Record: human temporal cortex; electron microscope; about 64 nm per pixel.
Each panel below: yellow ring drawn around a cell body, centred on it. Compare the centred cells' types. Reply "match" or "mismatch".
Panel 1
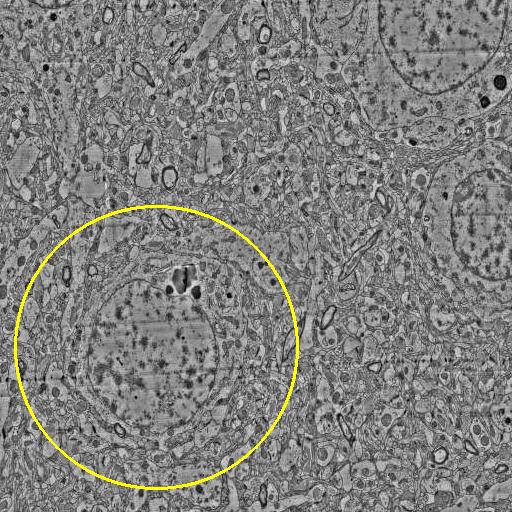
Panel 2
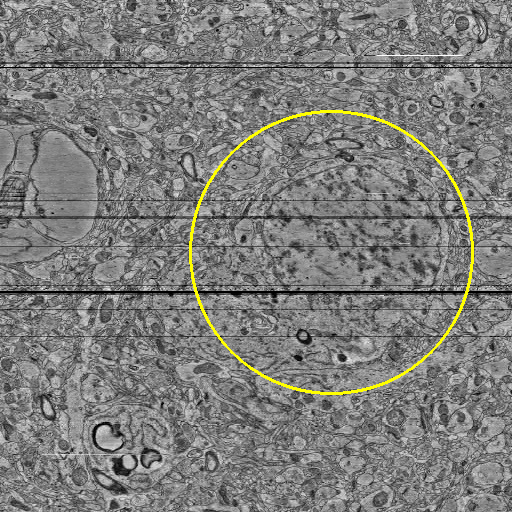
match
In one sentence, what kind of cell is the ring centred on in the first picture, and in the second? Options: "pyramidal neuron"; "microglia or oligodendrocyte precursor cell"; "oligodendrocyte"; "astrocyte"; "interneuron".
Each of the ringed cells, first and second, is an interneuron.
